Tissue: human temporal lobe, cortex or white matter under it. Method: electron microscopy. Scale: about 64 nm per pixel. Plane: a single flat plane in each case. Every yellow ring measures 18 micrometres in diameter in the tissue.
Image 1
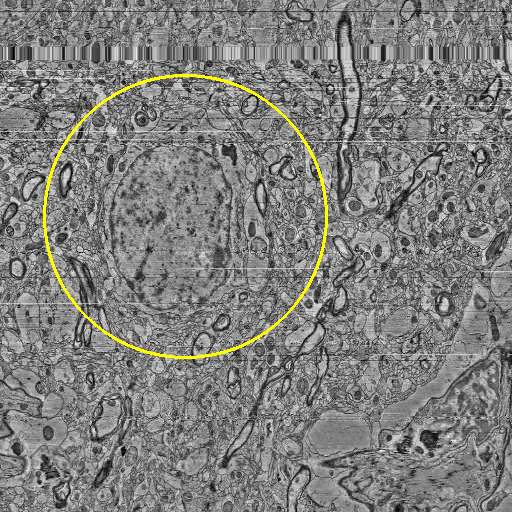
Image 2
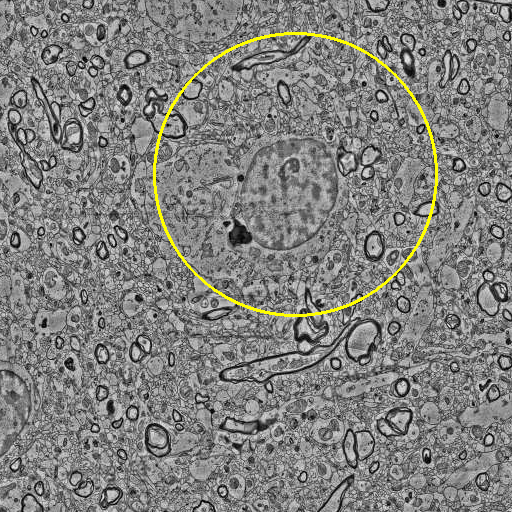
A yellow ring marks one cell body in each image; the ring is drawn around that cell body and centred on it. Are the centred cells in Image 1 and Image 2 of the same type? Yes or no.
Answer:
no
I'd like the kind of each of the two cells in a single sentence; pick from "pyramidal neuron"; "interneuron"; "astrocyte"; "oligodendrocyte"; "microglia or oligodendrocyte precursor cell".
The first ring marks an interneuron, and the second ring marks an oligodendrocyte.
